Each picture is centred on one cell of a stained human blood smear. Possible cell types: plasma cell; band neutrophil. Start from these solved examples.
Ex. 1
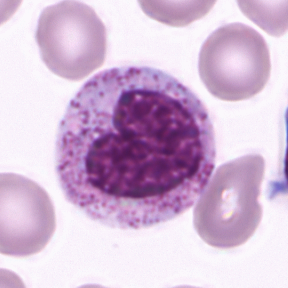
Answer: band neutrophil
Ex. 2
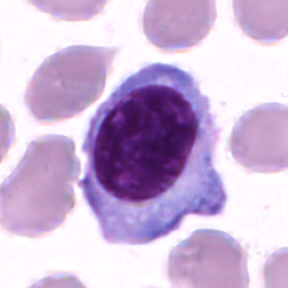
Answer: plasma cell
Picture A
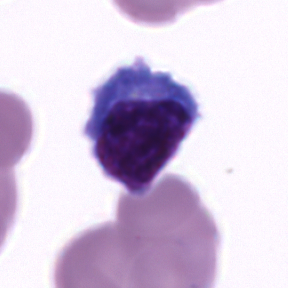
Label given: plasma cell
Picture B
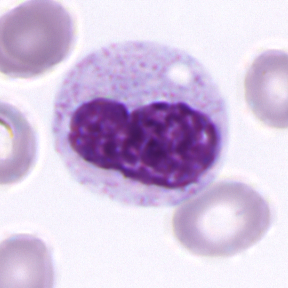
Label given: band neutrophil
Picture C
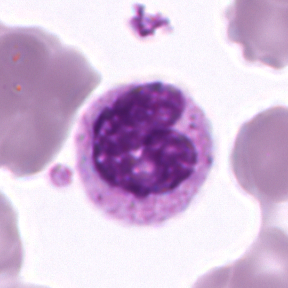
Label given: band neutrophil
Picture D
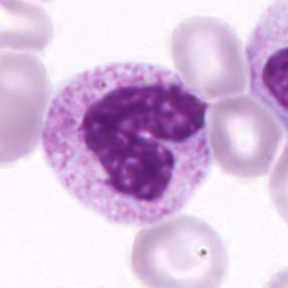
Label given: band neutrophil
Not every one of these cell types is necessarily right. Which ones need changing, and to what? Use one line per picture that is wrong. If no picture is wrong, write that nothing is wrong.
None of the labels needs changing.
